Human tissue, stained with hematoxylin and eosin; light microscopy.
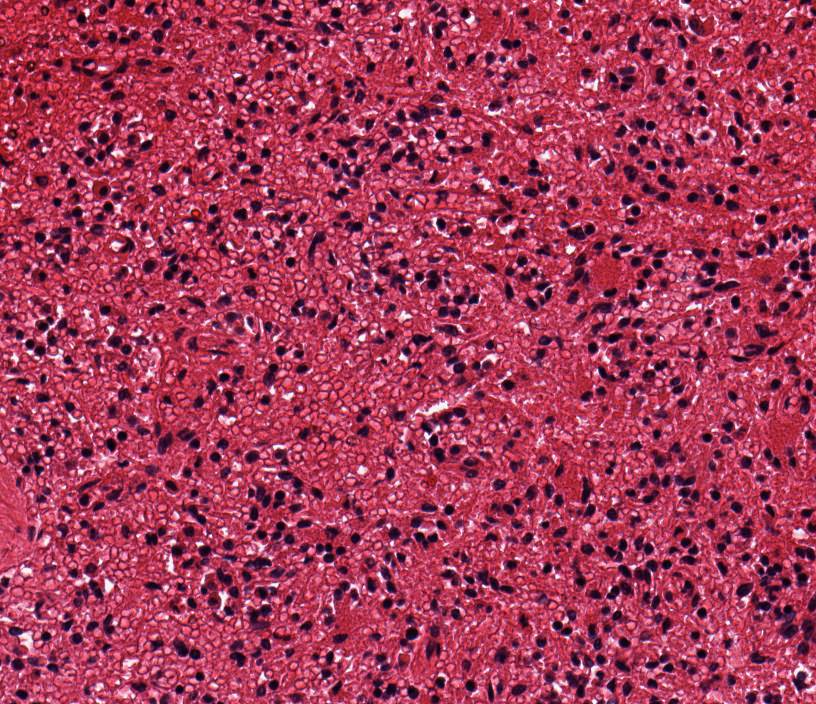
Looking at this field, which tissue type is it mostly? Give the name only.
red pulp of the spleen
